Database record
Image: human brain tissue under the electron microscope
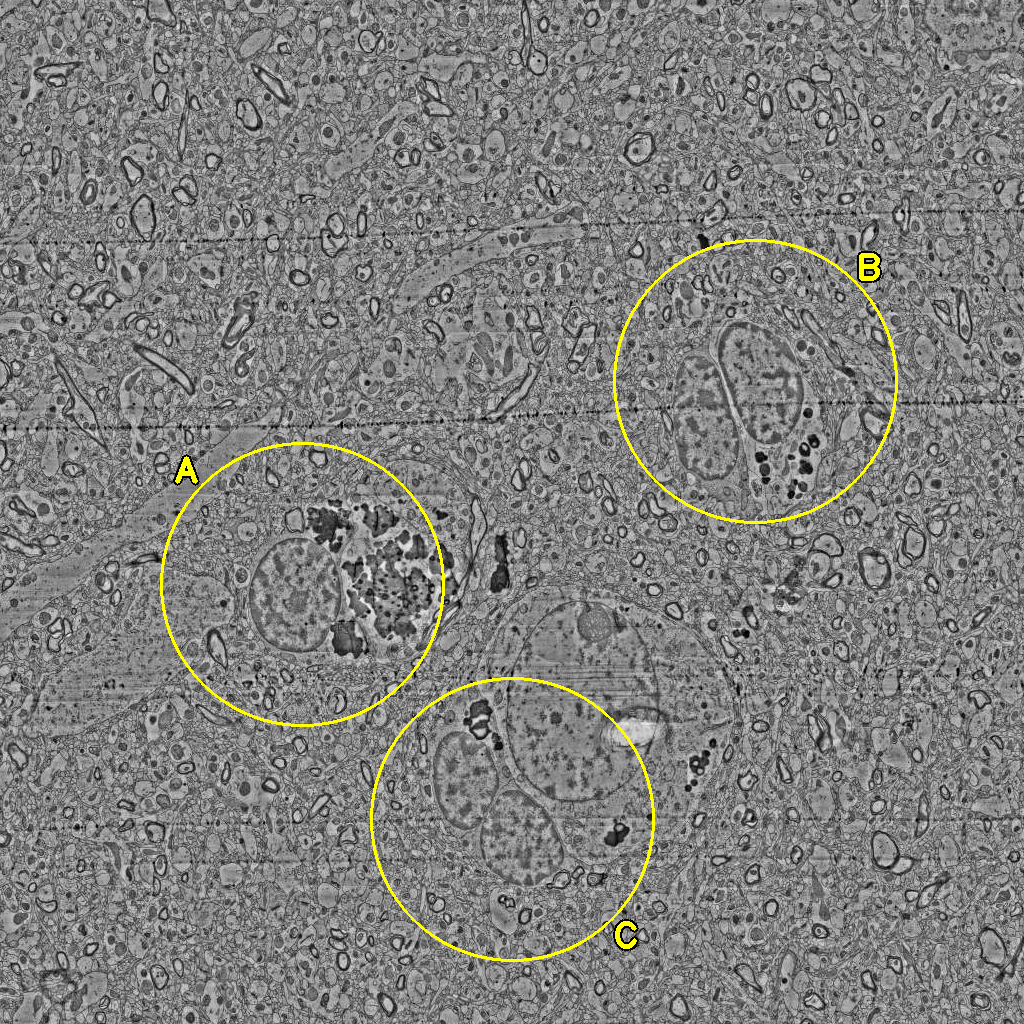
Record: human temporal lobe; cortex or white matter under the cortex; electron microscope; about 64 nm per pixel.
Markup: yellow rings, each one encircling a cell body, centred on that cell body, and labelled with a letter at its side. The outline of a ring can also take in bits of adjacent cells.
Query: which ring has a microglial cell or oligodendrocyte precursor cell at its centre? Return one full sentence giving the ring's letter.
In this image, that kind of cell lies at the centre of the ring labelled B.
